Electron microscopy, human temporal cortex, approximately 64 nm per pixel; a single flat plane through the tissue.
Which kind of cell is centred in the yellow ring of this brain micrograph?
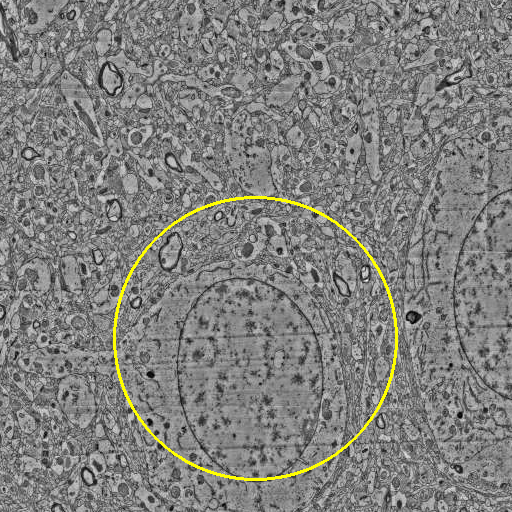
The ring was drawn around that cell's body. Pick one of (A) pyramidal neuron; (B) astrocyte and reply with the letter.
A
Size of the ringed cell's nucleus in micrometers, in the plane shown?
In this plane the nucleus is about 13 micrometres by 9.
